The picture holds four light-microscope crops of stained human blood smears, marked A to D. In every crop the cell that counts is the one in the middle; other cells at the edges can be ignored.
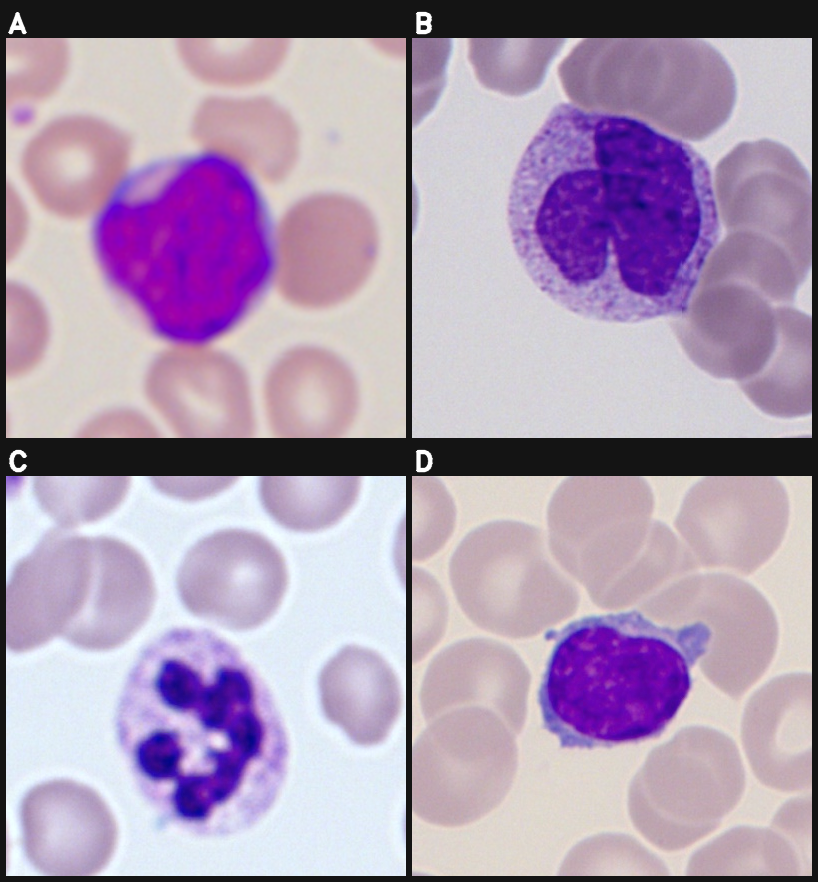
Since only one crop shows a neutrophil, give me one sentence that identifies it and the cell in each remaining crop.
Crop C is read as a neutrophil, while crop A is a blast, crop B is a monocyte and crop D is a lymphocyte.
